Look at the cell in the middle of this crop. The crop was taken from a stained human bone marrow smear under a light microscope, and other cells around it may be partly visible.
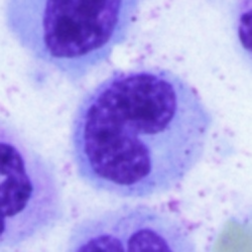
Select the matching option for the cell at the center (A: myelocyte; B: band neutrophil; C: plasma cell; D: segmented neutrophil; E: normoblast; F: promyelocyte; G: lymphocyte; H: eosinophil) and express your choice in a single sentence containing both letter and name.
The one cell at the centre is a band neutrophil, as correctly stated in option B.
